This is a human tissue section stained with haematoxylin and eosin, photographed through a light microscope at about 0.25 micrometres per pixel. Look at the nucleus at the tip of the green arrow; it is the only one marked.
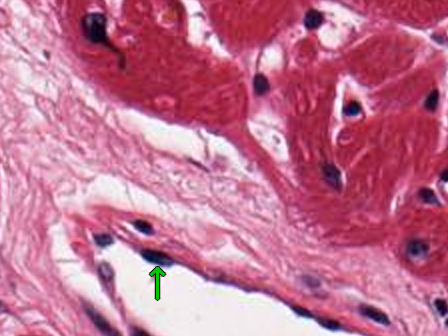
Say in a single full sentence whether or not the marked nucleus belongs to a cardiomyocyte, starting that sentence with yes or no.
No, the marked nucleus is part of a supporting cell and does not belong to a cardiomyocyte.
